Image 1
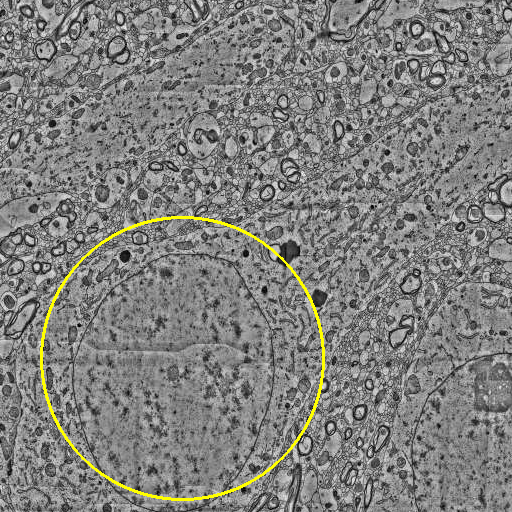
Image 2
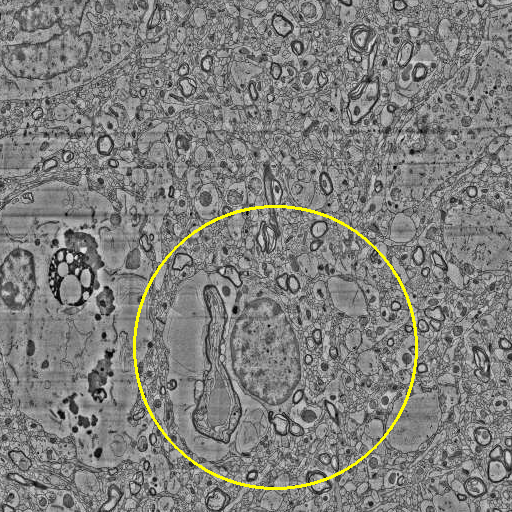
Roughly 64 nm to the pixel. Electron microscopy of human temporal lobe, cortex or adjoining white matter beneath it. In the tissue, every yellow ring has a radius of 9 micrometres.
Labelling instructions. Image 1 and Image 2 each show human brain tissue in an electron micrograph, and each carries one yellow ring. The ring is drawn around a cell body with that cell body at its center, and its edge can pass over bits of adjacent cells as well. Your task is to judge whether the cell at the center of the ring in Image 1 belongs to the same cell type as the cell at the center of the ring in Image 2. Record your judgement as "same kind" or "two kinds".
two kinds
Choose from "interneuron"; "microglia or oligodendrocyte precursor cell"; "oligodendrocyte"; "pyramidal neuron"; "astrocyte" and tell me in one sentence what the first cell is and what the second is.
What the first ring is centred on is a pyramidal neuron; what the second ring is centred on is an oligodendrocyte.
